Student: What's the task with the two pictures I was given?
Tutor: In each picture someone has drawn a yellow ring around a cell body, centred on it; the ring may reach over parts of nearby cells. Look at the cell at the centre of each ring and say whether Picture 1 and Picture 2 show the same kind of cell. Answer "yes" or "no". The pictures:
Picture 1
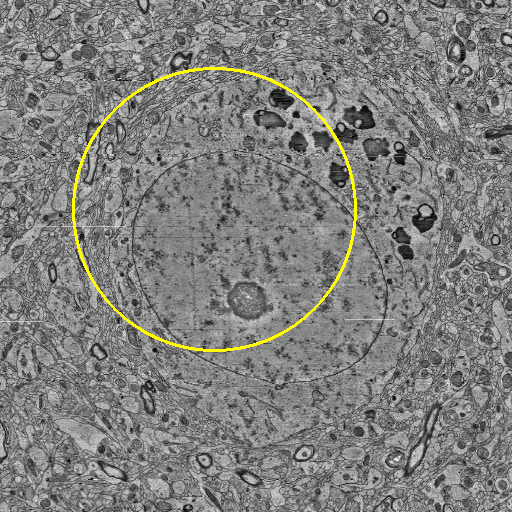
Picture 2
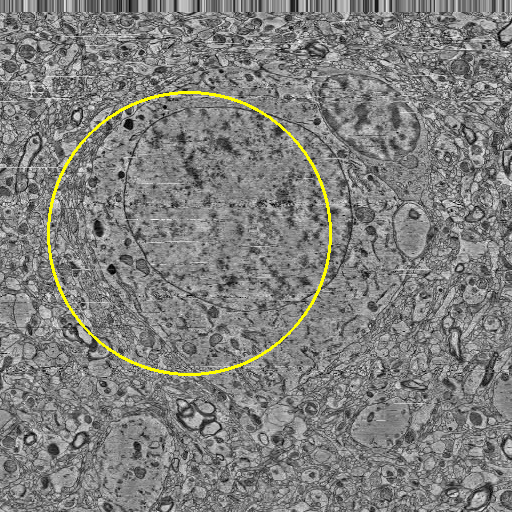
yes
